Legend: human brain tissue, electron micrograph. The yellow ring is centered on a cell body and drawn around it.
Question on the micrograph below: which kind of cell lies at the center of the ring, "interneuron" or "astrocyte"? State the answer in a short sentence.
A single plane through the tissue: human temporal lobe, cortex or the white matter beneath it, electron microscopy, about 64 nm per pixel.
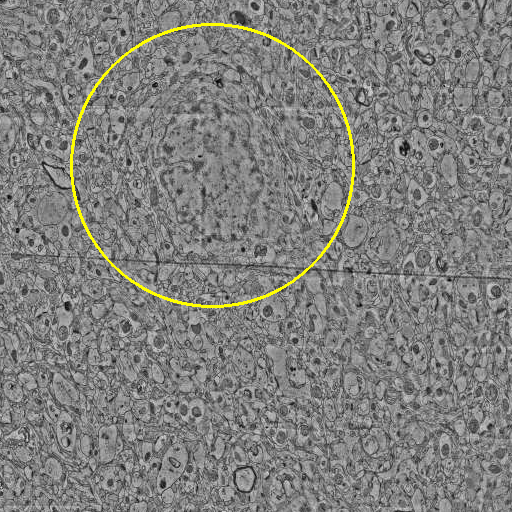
At the center of the ring lies an interneuron.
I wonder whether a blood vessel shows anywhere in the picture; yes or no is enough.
No, no blood vessel can be seen.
